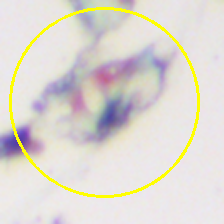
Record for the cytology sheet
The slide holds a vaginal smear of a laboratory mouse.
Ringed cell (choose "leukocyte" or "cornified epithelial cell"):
cornified epithelial cell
